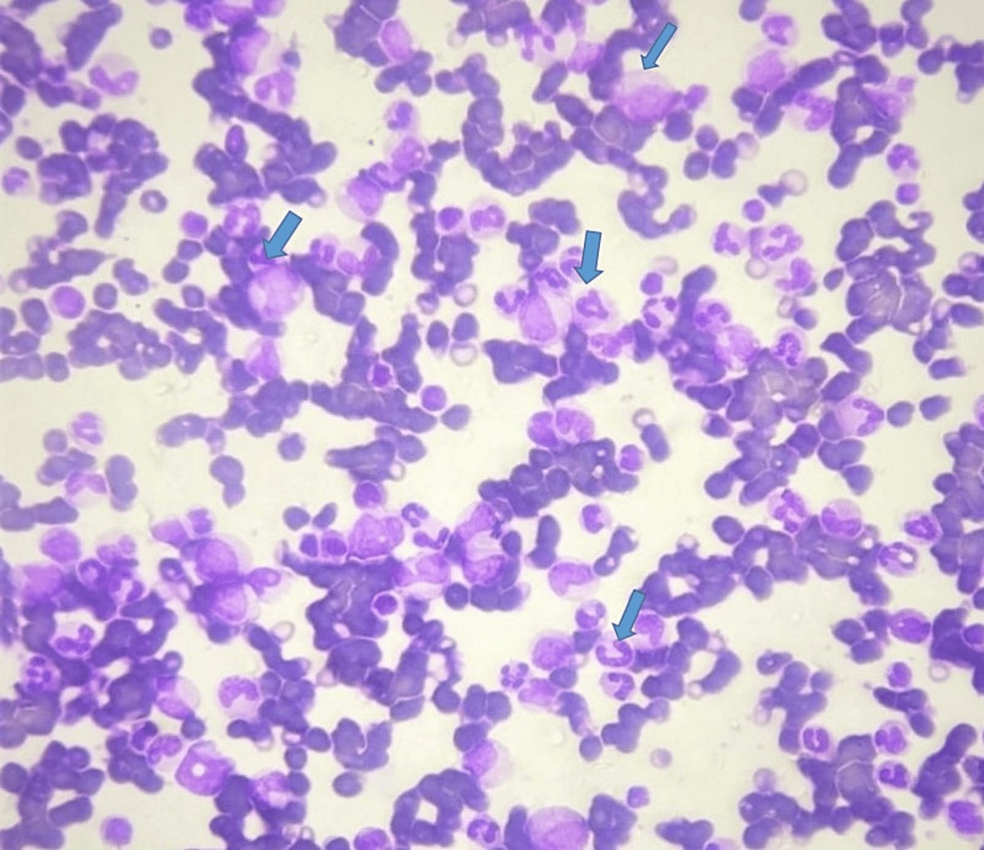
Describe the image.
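This is a crowded peripheral blood smear in which white cells of the granulocyte series far outnumber what a normal smear would show, lying packed among the red cells. Granulocytes at different stages of maturation are present, from larger cells with rounder purple nuclei and bluish-violet cytoplasm to mature neutrophils with segmented nuclei.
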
